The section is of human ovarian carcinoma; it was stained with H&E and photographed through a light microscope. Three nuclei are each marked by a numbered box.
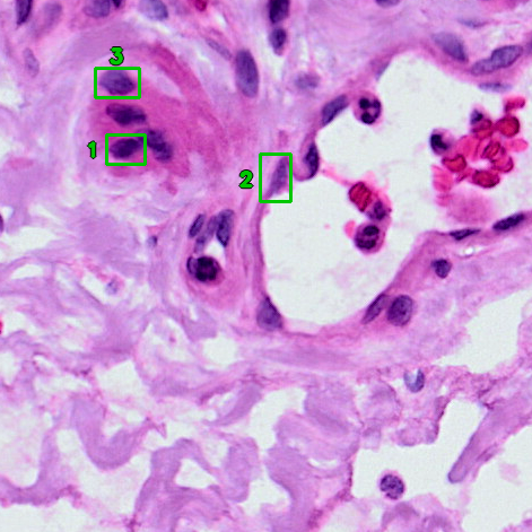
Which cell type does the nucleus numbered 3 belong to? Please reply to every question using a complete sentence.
In the marked set, the cell given number 3 is a smooth muscle cell.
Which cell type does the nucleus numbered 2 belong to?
The cell that goes by number 2 is an endothelial cell.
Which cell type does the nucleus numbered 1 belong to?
Marked with the number 1, this cell is a smooth muscle cell.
